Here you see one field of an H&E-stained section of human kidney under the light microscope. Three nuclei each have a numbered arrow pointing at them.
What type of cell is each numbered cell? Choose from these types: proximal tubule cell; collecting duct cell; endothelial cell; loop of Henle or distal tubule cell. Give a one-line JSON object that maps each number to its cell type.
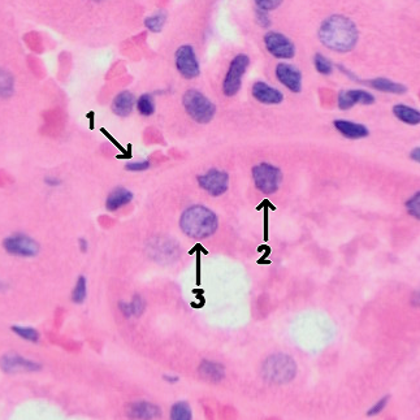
{"1": "endothelial cell", "2": "proximal tubule cell", "3": "proximal tubule cell"}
